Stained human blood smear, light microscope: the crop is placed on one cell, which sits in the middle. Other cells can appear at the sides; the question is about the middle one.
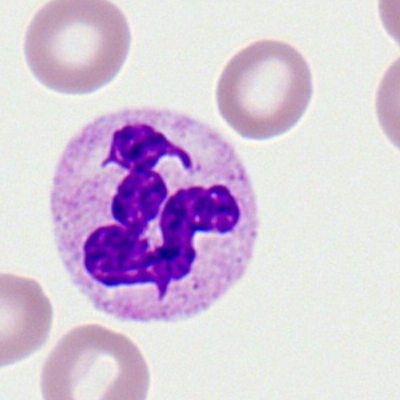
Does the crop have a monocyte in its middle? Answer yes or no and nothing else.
no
